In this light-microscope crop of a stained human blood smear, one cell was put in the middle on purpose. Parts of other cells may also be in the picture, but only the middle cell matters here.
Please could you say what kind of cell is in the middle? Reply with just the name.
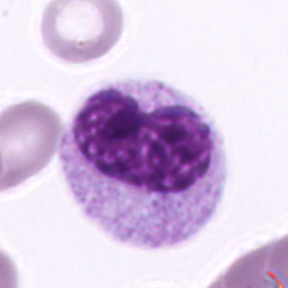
metamyelocyte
